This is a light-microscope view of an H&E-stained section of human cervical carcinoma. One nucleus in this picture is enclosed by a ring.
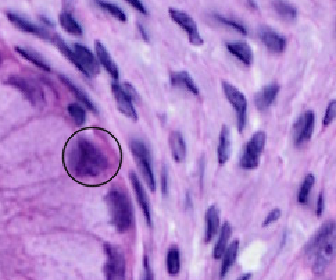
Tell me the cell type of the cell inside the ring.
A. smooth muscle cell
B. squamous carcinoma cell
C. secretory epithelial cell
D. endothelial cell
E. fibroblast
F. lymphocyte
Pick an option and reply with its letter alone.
C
